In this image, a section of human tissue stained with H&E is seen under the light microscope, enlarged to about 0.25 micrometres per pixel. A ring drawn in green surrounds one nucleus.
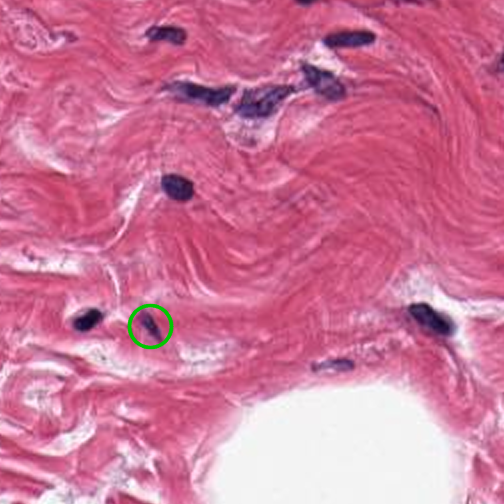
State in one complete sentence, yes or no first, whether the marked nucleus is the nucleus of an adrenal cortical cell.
No, the marked nucleus has its place in a supporting cell rather than in an adrenal cortical cell.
